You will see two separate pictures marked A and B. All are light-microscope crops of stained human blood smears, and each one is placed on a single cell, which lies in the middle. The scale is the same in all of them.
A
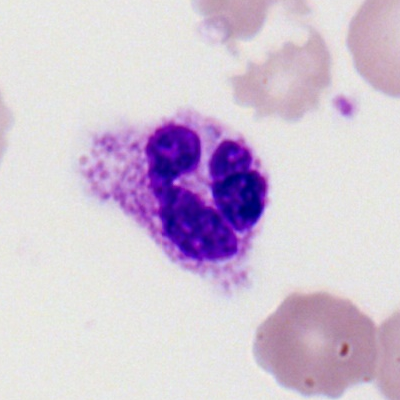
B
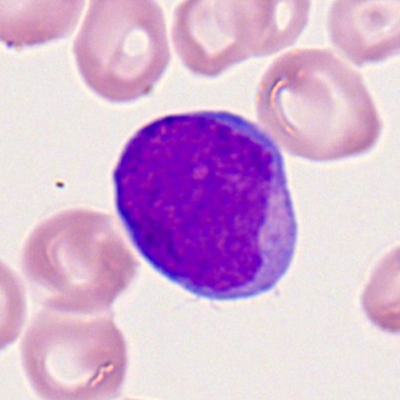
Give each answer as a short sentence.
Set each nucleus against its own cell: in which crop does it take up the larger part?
It is the cell in picture B that is filled more by its nucleus.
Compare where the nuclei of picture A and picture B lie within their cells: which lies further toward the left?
The nucleus in picture B lies further toward the left of its cell.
